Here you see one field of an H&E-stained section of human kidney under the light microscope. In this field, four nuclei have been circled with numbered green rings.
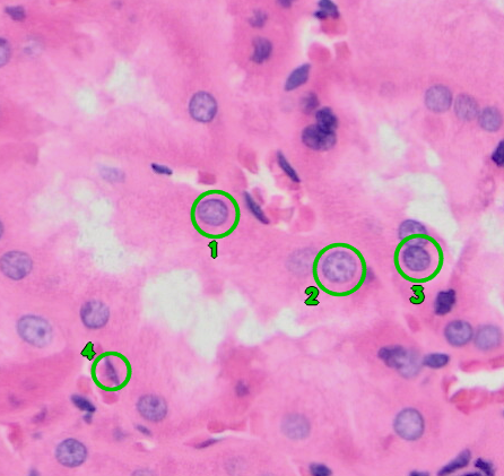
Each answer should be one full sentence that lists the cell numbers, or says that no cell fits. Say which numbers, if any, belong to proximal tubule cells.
The cells numbered 1, 2 and 3 are identified as proximal tubule cells.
